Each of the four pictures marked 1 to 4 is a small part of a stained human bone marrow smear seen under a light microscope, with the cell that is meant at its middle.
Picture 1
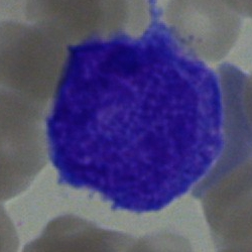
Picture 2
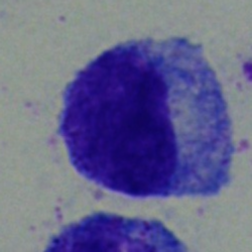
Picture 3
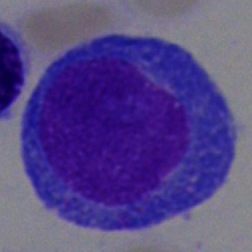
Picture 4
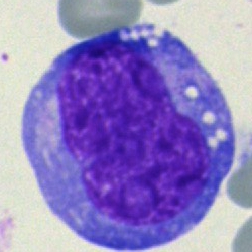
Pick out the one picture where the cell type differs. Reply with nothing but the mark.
2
